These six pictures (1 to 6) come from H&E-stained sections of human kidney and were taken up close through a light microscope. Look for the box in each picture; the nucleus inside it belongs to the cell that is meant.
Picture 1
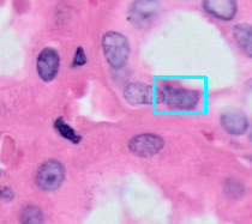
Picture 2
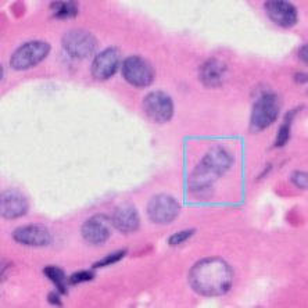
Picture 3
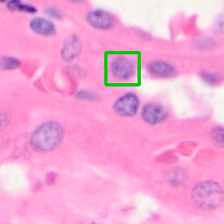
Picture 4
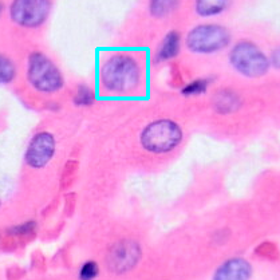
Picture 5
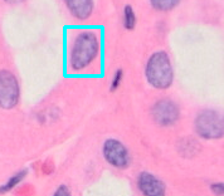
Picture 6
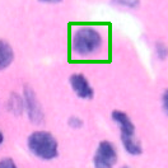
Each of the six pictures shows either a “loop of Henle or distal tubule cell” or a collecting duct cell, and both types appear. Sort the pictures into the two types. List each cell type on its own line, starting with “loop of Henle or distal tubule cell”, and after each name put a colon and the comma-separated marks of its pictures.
loop of Henle or distal tubule cell: 3, 4, 5, 6
collecting duct cell: 1, 2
